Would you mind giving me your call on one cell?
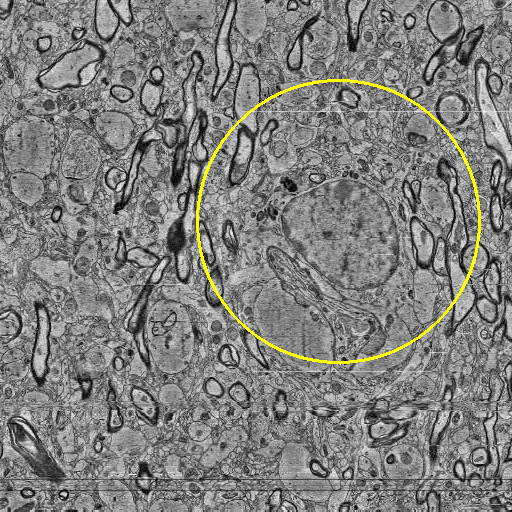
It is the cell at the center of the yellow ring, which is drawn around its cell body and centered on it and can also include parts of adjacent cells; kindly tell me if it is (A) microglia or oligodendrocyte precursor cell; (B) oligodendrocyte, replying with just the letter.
A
